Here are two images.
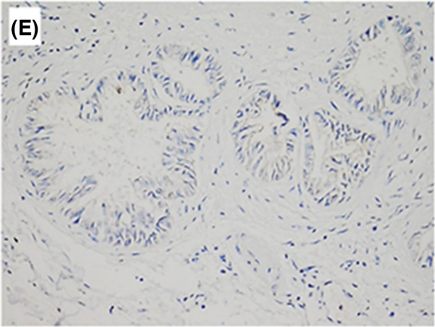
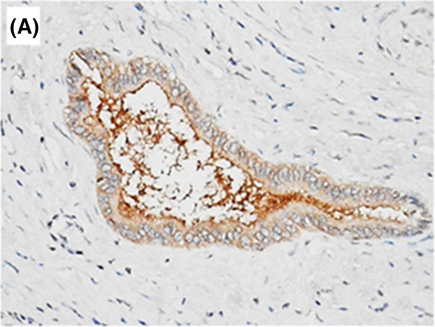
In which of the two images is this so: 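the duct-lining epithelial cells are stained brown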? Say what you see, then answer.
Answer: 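First image: the gland-forming epithelial cells are pale with blue nuclei and no brown stain. Second image: the epithelium lining the duct is brown. That points to this answer: the second image.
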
